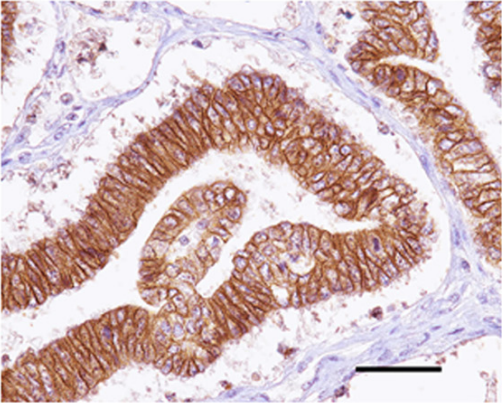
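Strong brown stain outlines the borders between neighbouring tumor cells, giving a honeycomb or net-like pattern across the epithelium, with diffuse brown in the cytoplasm. The nuclei are oval, blue-purple and crowded, lying at several levels in the epithelium. The stroma between the glands has spindle-shaped cells with small blue nuclei and no brown stain; a little loose material lies in the lumina.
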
